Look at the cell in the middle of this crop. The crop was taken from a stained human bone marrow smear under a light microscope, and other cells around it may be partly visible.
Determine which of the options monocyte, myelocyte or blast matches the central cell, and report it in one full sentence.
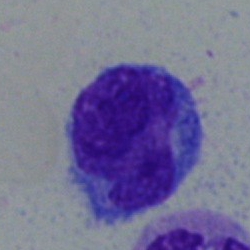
The middle position in this crop is taken by a monocyte.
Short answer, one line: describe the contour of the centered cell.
Around its circumference, the cell has an uneven edge, ragged or projecting in places.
